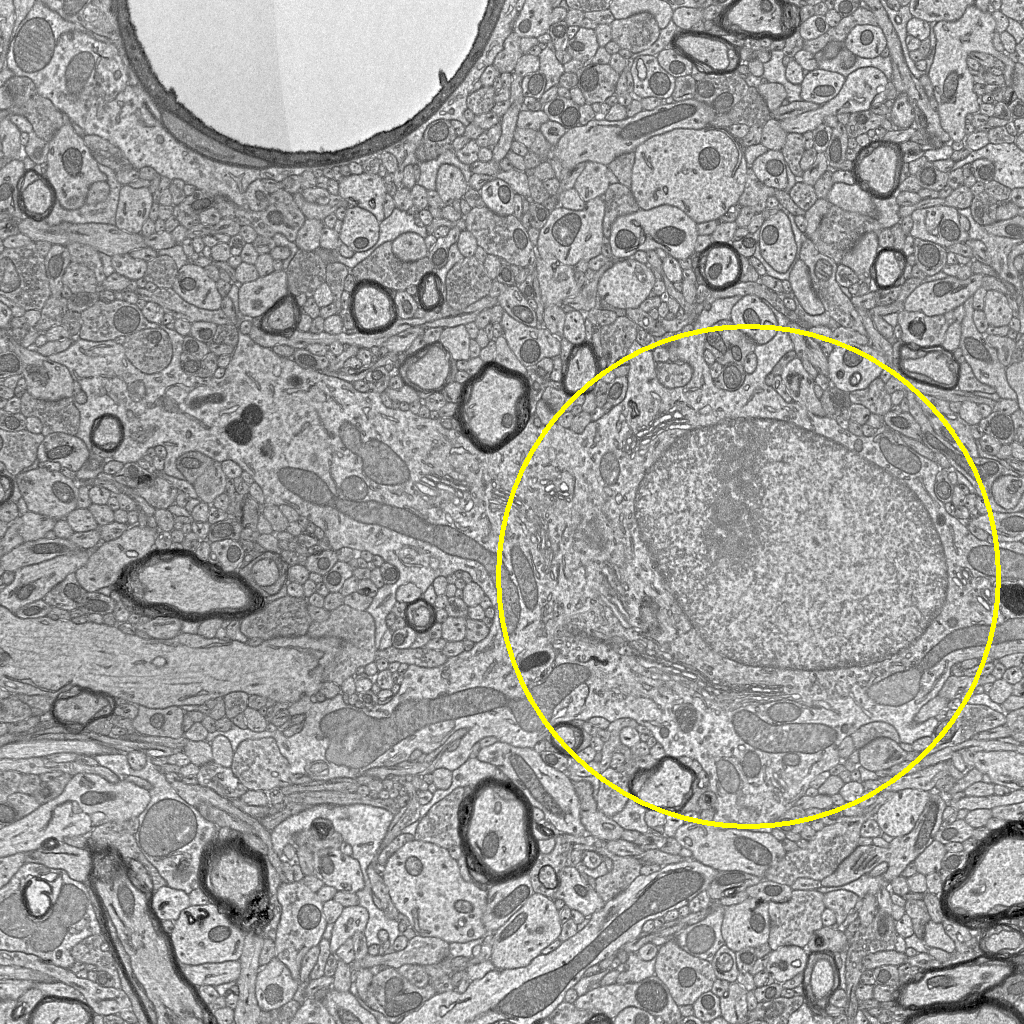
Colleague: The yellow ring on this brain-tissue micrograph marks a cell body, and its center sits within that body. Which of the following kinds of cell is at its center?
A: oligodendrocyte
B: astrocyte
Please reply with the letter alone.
B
